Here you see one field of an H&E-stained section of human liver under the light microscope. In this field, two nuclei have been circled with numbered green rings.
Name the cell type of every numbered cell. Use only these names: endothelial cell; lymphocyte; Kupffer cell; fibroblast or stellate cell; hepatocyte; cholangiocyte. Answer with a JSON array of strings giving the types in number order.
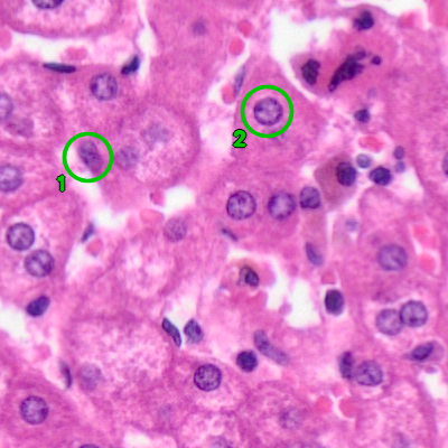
["Kupffer cell", "hepatocyte"]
